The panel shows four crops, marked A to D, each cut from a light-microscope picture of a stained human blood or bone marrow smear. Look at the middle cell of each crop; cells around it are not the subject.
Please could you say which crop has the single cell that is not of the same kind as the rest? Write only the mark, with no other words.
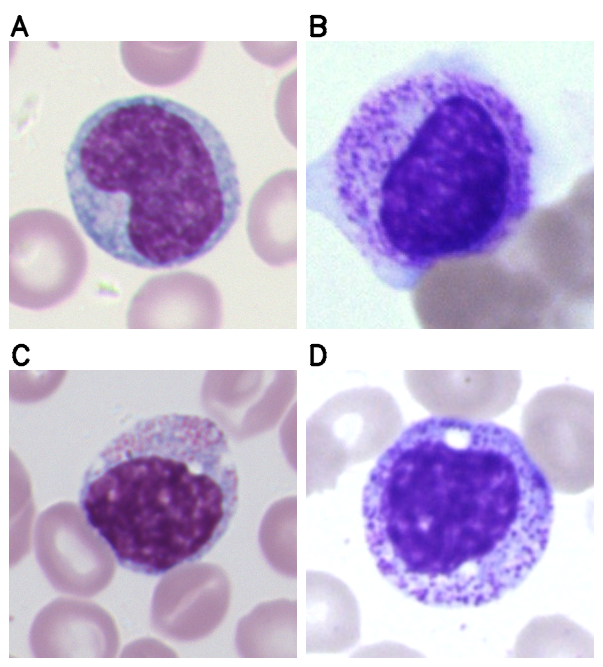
A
